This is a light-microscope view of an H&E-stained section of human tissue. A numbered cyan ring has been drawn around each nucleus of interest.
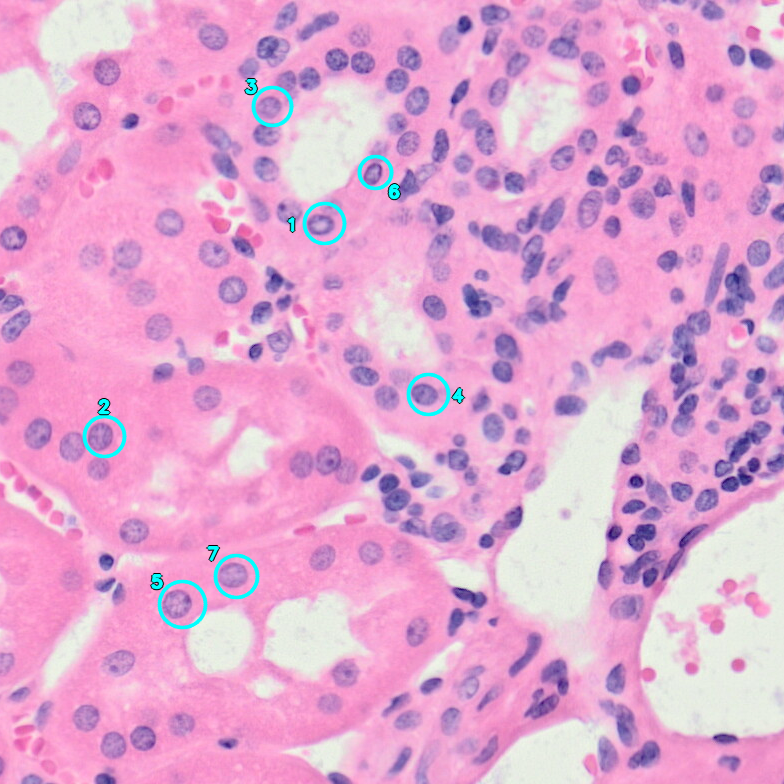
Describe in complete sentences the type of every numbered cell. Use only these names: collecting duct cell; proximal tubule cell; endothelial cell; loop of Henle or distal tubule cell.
Cell 1 is a collecting duct cell, cell 2 is a proximal tubule cell, cell 3 is a collecting duct cell, cell 4 is a collecting duct cell, cell 5 is a proximal tubule cell, cell 6 is a collecting duct cell and cell 7 is a proximal tubule cell.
